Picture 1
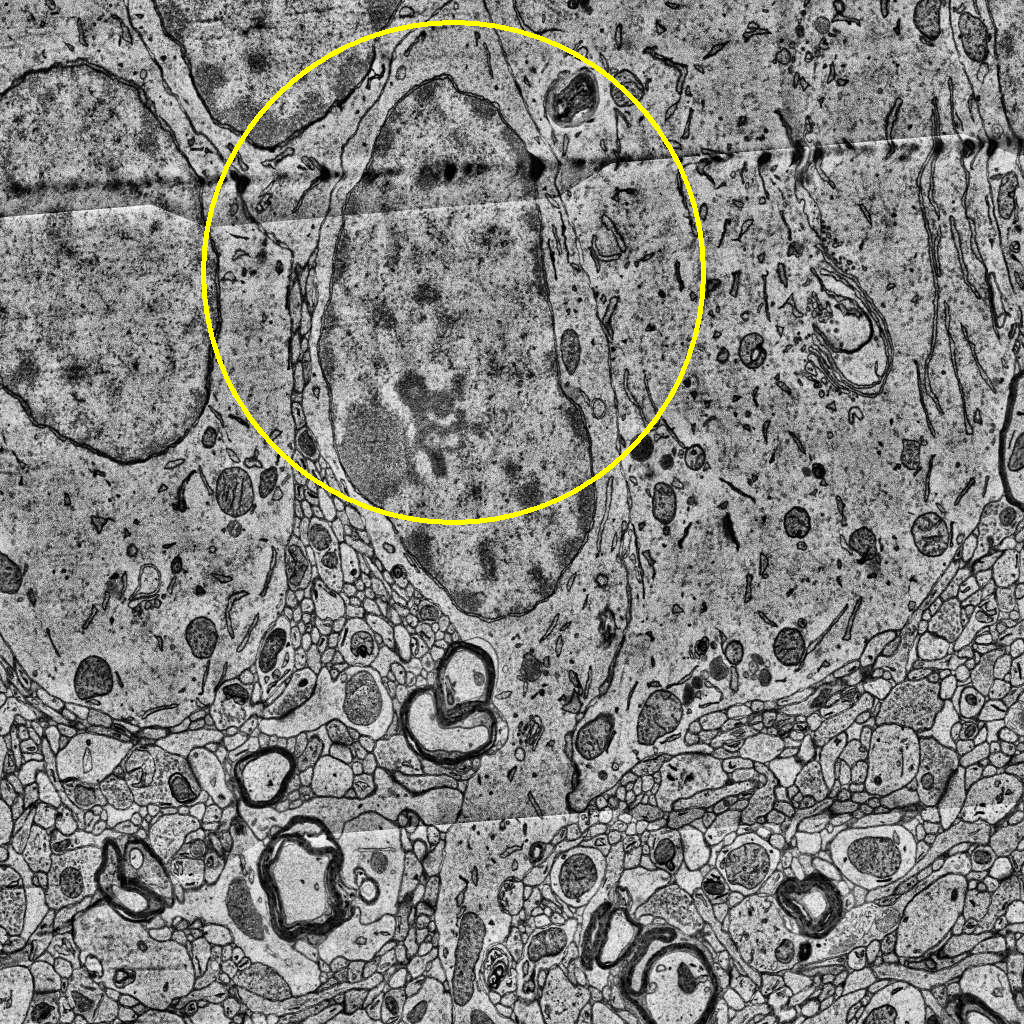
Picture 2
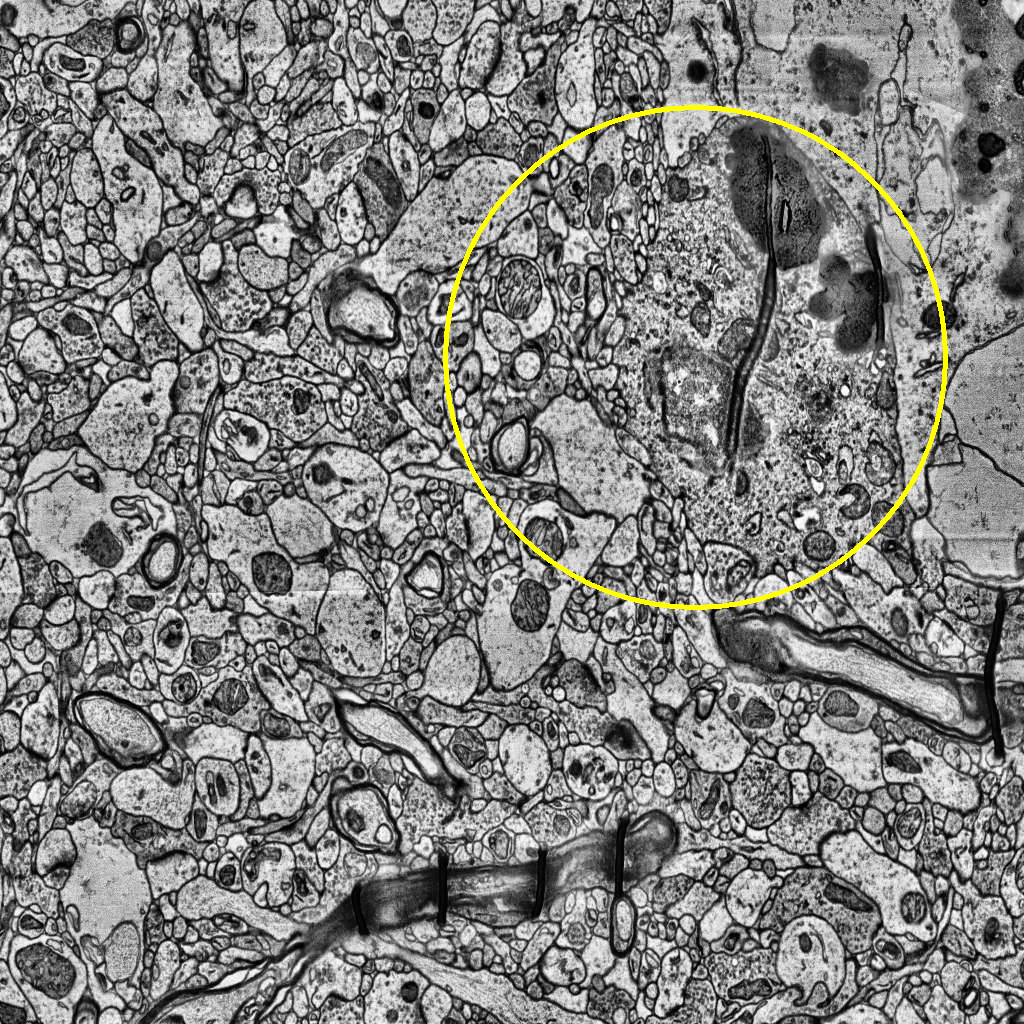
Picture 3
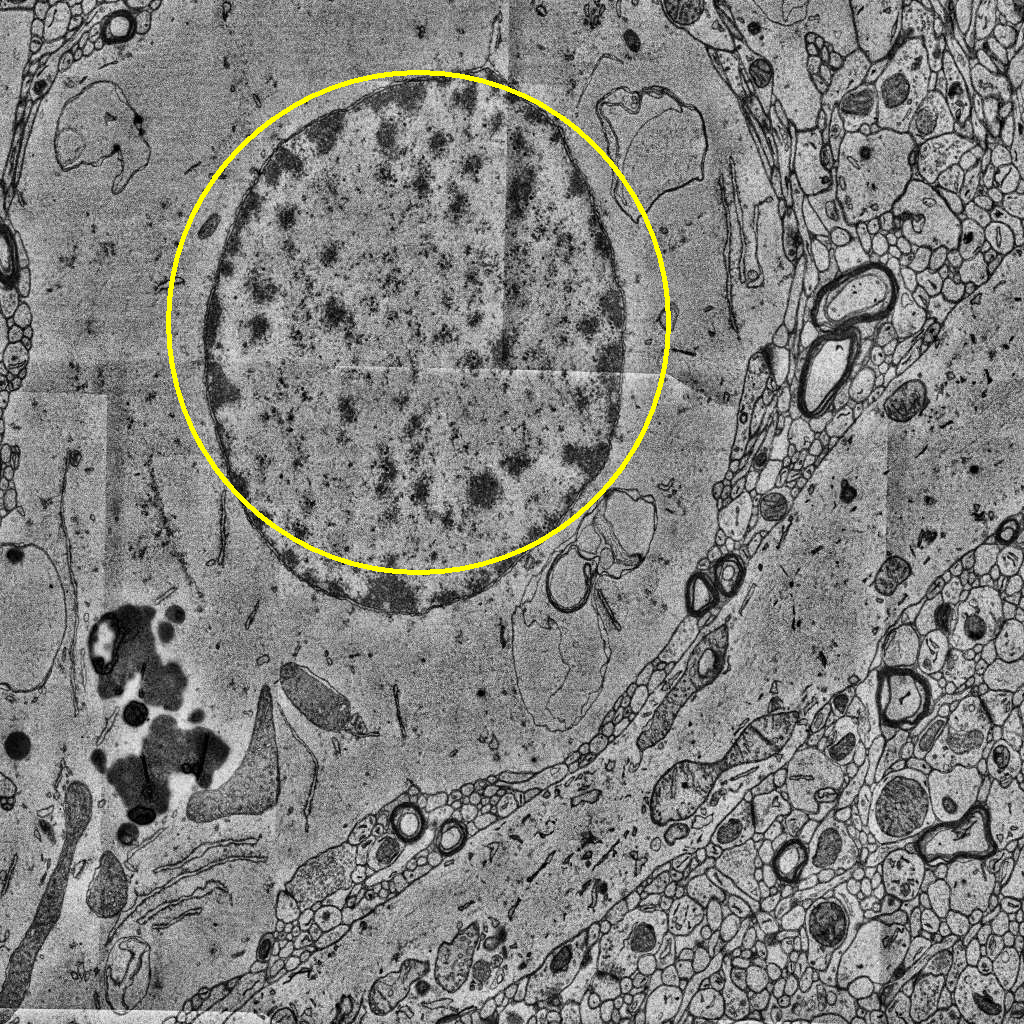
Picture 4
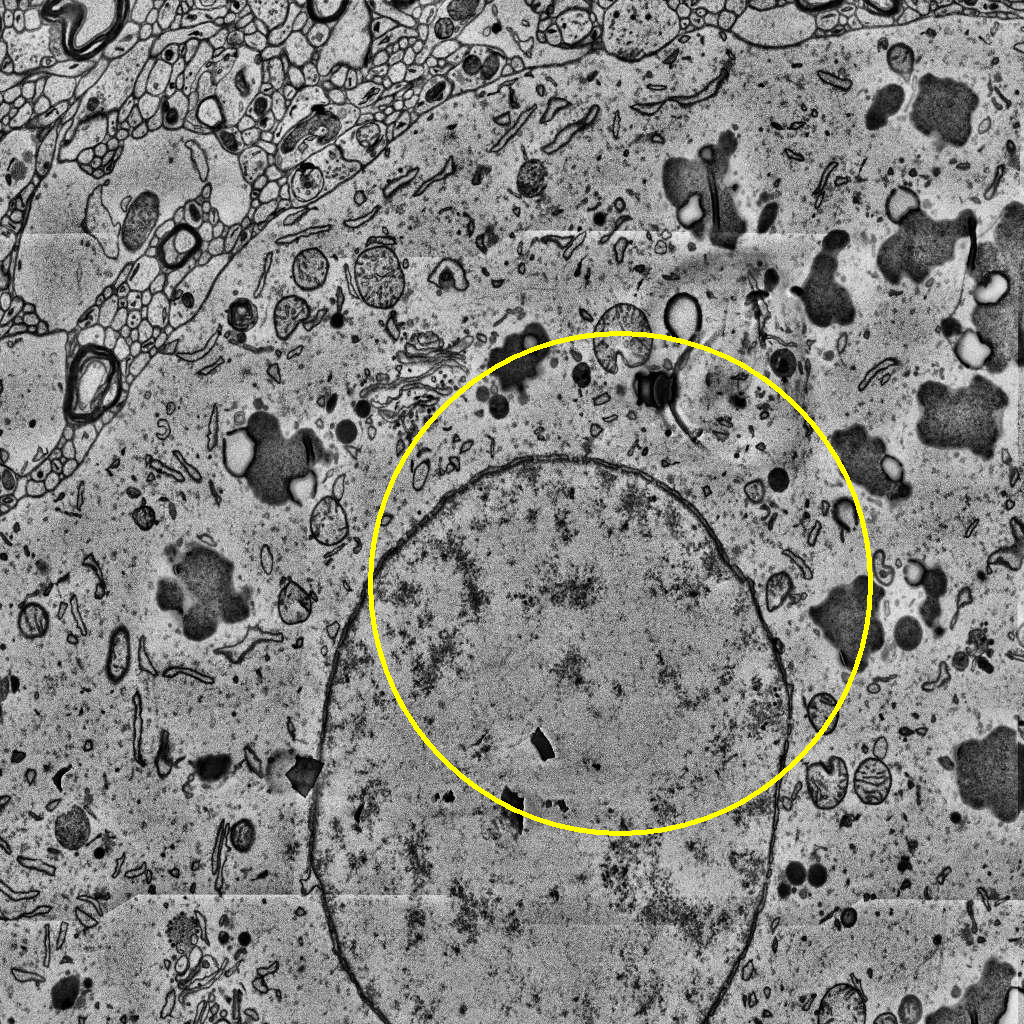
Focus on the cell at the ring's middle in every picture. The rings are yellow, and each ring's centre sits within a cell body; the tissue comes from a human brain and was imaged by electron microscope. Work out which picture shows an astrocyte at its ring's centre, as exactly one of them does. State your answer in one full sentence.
In picture 3, the ring's centre lies inside the cell in question.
